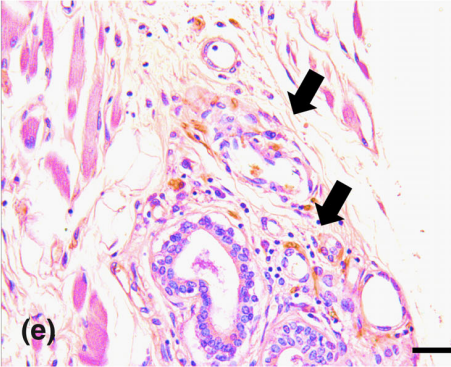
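Beneath the mucosa, pink skeletal muscle fibres cut in several directions lie beside a glandular area. The gland shows ducts and acini lined by cuboidal cells with round purple nuclei. Small brown-stained cells are scattered in the connective tissue between the gland and the muscle fibres.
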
